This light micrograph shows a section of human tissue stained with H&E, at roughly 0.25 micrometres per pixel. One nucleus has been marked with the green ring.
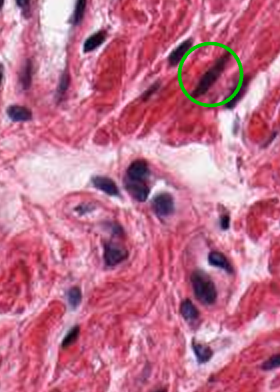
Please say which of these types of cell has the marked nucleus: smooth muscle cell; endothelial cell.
smooth muscle cell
